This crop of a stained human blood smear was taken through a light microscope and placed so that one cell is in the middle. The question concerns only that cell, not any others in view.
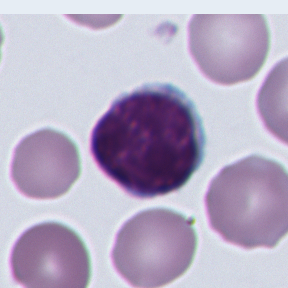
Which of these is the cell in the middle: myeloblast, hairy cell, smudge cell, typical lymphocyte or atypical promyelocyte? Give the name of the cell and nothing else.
typical lymphocyte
